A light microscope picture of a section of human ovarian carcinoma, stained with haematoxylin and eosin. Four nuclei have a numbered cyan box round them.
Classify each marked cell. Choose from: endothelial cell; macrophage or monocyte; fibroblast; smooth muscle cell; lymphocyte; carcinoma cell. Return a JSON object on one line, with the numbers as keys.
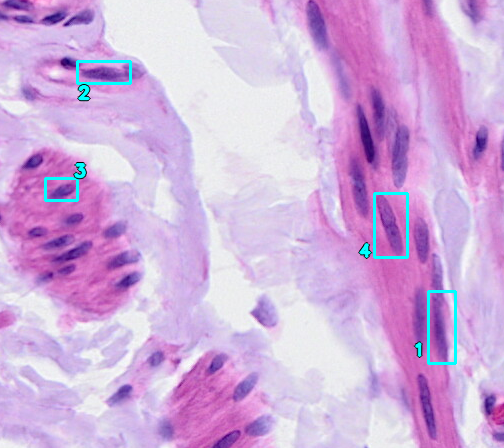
{"1": "smooth muscle cell", "2": "endothelial cell", "3": "smooth muscle cell", "4": "smooth muscle cell"}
